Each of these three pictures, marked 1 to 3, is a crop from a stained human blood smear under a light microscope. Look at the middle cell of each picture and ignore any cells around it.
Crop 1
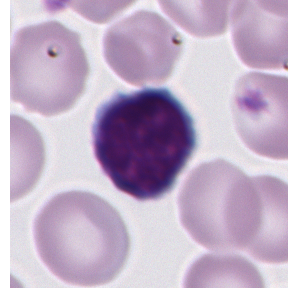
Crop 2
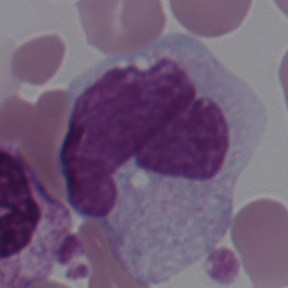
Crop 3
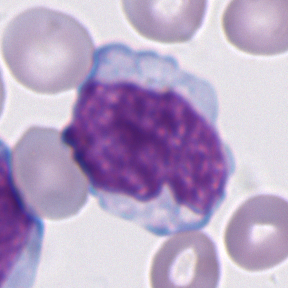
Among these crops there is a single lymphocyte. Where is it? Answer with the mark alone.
1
